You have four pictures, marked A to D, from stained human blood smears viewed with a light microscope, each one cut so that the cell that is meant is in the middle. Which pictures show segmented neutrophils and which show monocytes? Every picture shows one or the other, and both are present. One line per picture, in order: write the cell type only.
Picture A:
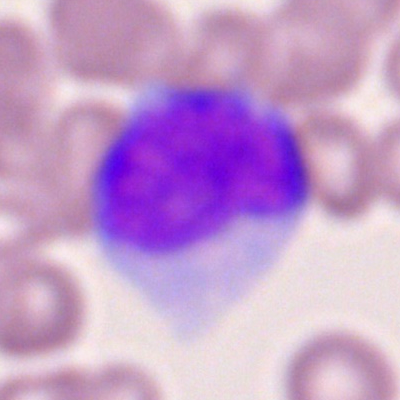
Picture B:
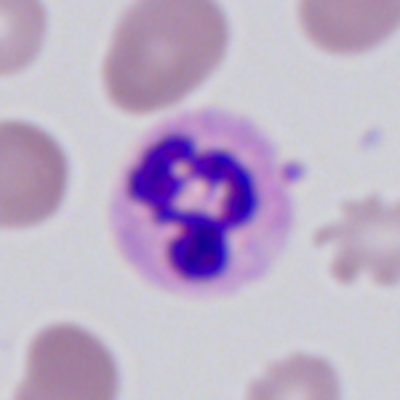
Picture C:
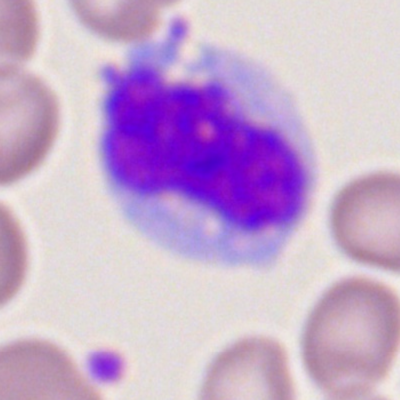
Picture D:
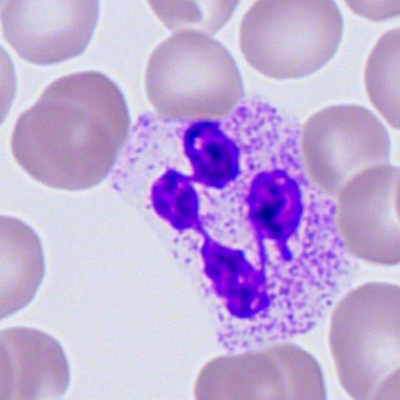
monocyte
segmented neutrophil
monocyte
segmented neutrophil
